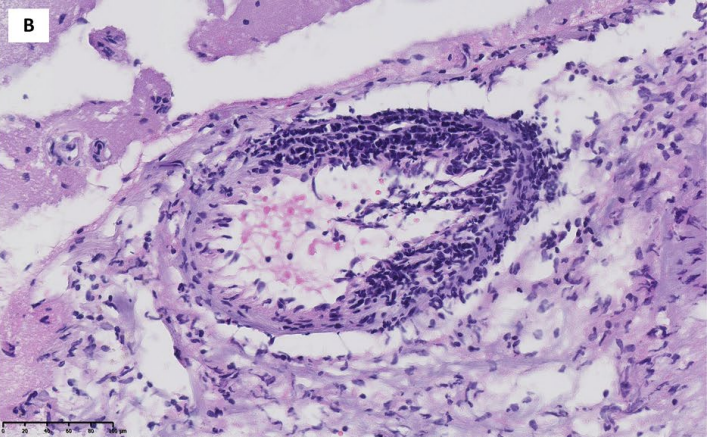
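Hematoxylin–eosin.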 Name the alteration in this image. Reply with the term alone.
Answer: Eccentric and transmural infiltration.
